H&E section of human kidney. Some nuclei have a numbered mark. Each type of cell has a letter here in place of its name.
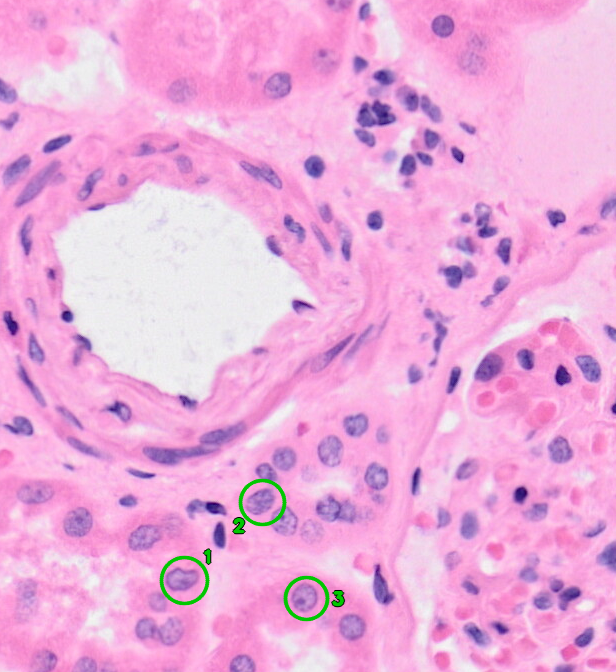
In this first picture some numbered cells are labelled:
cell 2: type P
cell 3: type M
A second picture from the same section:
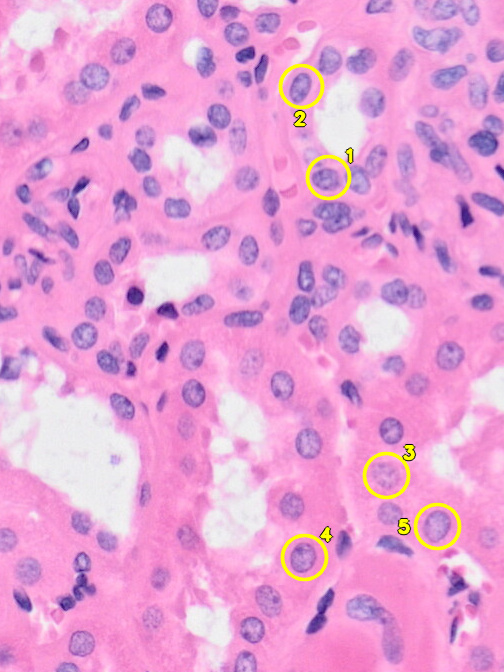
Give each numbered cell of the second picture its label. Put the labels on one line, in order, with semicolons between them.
type P; type P; type M; type M; type M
